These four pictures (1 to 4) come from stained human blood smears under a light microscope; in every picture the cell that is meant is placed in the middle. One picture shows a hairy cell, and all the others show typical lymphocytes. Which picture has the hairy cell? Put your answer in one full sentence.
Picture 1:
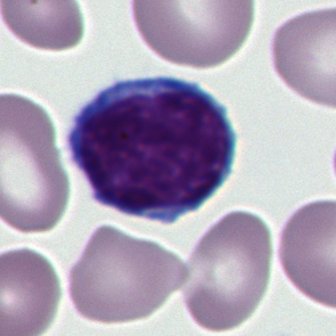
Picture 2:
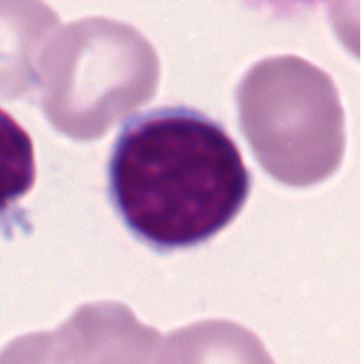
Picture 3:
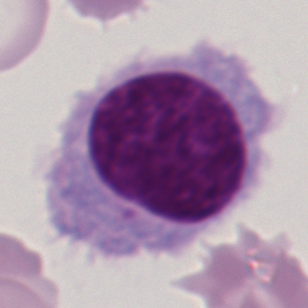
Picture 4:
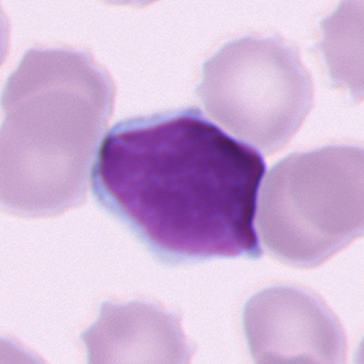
It is picture 3 that shows the hairy cell.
